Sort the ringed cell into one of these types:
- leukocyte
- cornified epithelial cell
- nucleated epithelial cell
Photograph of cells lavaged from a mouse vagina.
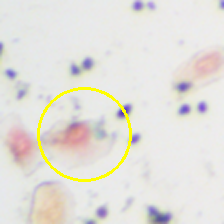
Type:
nucleated epithelial cell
